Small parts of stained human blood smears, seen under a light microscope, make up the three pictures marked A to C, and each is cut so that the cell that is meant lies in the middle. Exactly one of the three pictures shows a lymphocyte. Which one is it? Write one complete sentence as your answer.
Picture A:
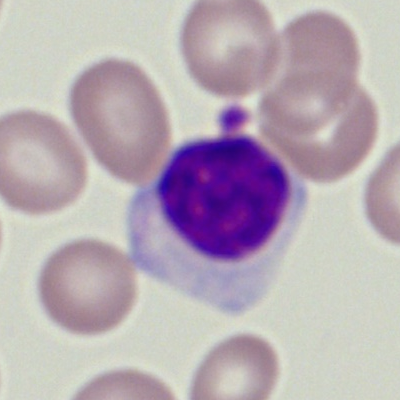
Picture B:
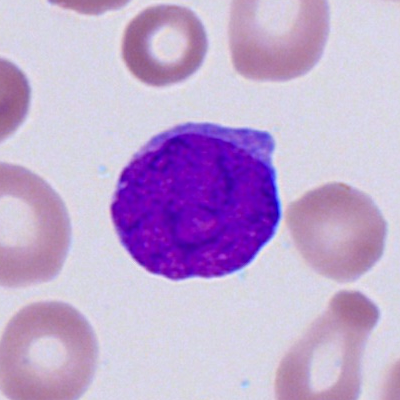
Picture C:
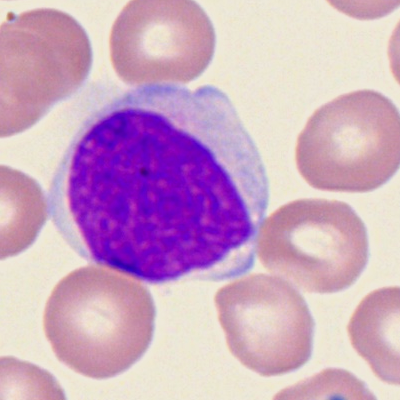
Picture A is the one that shows the lymphocyte.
